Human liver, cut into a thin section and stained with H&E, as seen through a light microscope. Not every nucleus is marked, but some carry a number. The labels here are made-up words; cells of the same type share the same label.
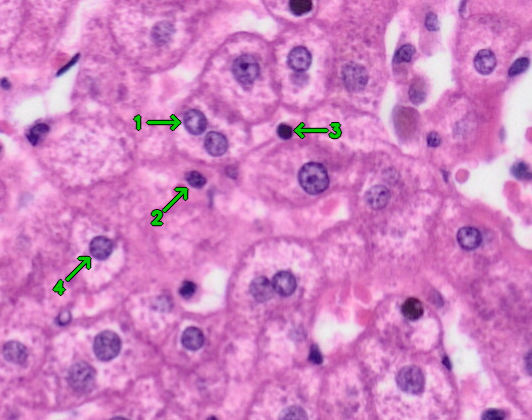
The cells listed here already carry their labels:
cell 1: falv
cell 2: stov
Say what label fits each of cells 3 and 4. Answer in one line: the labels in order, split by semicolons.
stov; falv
